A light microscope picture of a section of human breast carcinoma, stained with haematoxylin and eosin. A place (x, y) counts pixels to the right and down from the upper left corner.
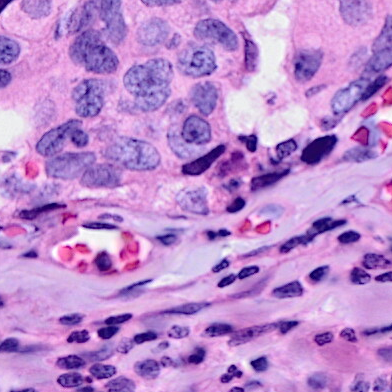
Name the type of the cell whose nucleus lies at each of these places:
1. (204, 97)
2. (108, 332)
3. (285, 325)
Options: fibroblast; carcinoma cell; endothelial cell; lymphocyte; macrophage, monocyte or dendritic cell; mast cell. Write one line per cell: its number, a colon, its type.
1: carcinoma cell
2: lymphocyte
3: lymphocyte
